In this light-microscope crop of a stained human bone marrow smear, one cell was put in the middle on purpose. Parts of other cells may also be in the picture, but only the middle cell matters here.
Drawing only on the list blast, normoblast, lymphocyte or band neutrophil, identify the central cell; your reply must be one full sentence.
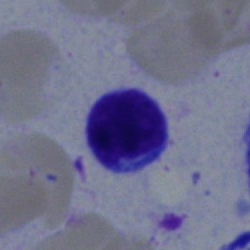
The cell found in the middle of this crop is a lymphocyte.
